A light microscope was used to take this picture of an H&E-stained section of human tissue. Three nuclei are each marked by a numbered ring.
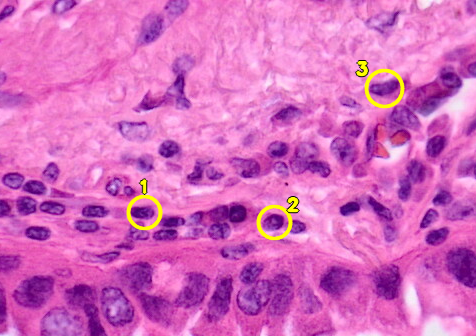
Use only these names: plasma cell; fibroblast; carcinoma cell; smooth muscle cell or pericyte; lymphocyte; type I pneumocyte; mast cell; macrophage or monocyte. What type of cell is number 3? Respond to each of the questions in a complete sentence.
The cell identified by number 3 is a plasma cell.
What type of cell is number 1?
The nucleus labelled 1 belongs to a lymphocyte.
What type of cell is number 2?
Of the numbered cells, the one labelled 2 is a lymphocyte.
